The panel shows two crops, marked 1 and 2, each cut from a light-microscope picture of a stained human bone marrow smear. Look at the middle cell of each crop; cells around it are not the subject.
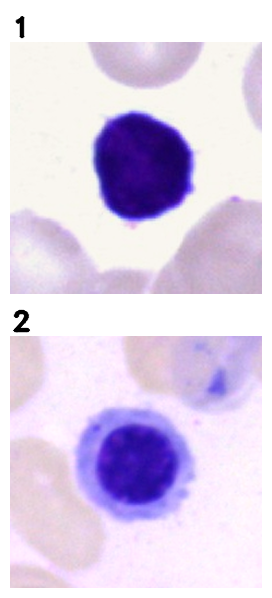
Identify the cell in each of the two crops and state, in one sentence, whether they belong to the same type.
No, crop 1 contains a lymphocyte, and crop 2 contains an erythroblast.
